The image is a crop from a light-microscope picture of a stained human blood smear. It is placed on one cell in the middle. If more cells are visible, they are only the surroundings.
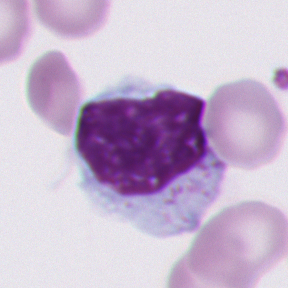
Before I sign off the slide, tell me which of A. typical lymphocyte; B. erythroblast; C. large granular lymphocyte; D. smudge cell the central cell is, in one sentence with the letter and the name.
Option C is right, the centrally situated cell being a large granular lymphocyte.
